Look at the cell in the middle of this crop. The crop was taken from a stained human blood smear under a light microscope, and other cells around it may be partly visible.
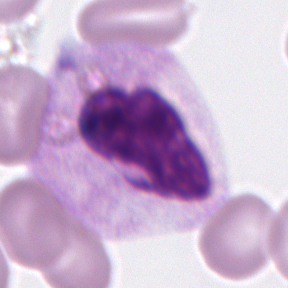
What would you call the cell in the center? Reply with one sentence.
In short, the cell at the center is a segmented neutrophil.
